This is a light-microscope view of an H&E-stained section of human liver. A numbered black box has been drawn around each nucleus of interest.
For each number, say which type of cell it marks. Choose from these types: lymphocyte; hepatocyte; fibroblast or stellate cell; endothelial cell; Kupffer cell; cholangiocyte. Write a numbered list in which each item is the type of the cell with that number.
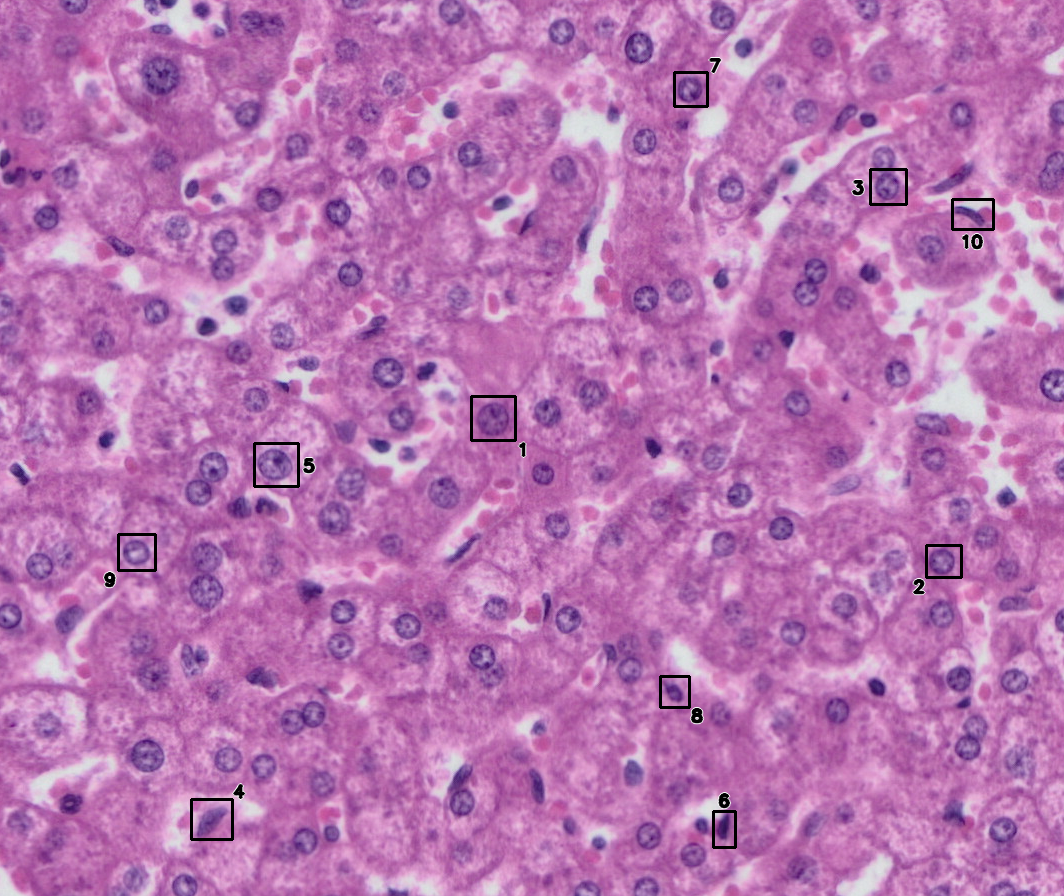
1. hepatocyte
2. hepatocyte
3. hepatocyte
4. Kupffer cell
5. hepatocyte
6. fibroblast or stellate cell
7. hepatocyte
8. fibroblast or stellate cell
9. hepatocyte
10. endothelial cell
